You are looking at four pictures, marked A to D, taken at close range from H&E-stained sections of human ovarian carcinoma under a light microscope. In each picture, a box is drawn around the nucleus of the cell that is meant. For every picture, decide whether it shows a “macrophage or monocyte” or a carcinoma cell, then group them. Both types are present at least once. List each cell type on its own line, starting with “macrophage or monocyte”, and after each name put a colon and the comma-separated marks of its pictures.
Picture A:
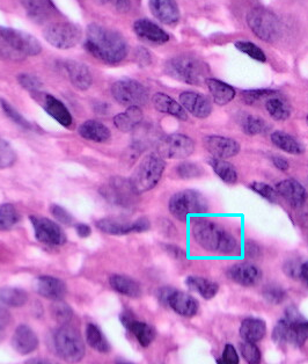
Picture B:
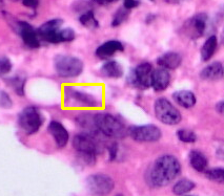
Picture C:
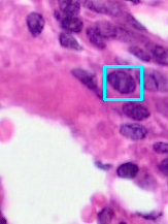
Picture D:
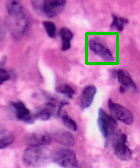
macrophage or monocyte: D
carcinoma cell: A, B, C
